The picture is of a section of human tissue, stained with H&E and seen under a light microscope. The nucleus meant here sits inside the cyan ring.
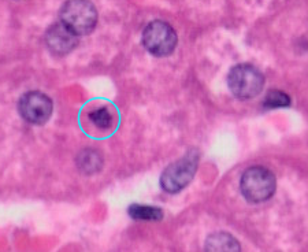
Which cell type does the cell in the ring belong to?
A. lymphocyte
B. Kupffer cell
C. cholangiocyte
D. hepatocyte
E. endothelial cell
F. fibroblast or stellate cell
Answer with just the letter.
F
